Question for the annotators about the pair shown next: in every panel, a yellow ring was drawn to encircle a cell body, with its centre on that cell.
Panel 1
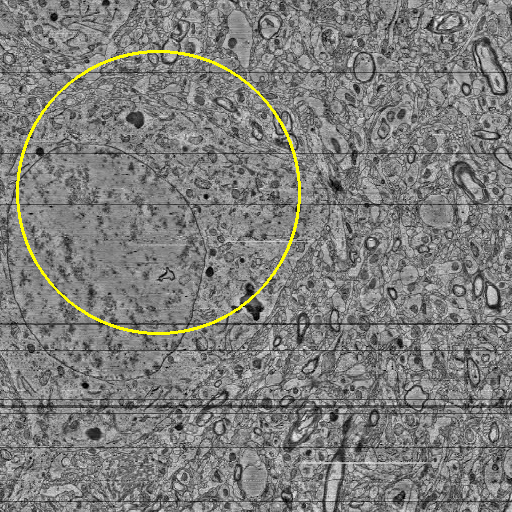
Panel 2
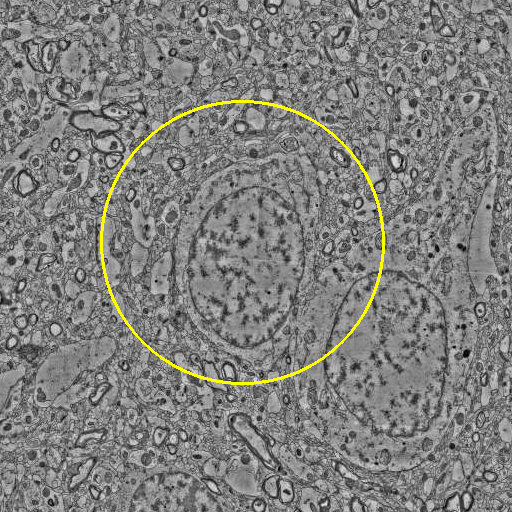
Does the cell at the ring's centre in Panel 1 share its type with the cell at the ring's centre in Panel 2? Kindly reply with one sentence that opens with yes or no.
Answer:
Yes, in Panels 1 and 2 the cells at the ring centres belong to a single type.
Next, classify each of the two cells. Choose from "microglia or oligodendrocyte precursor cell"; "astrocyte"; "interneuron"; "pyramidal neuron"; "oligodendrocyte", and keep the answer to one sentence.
In the first picture and in the second, the ring is centred on a pyramidal neuron.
